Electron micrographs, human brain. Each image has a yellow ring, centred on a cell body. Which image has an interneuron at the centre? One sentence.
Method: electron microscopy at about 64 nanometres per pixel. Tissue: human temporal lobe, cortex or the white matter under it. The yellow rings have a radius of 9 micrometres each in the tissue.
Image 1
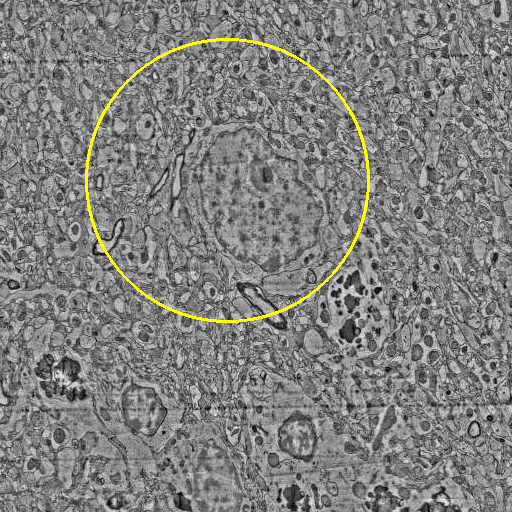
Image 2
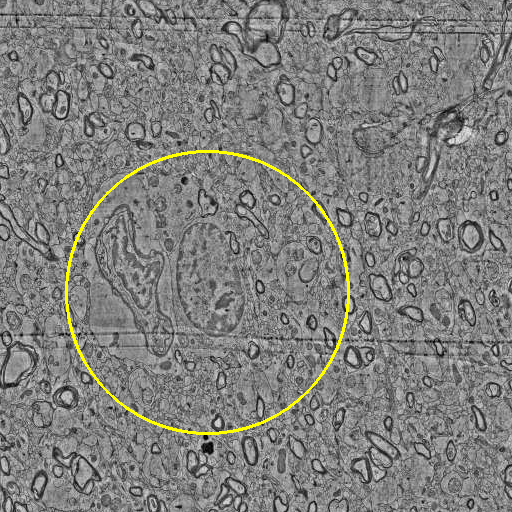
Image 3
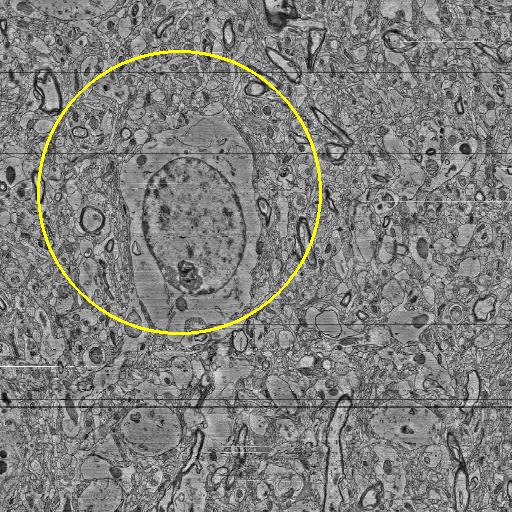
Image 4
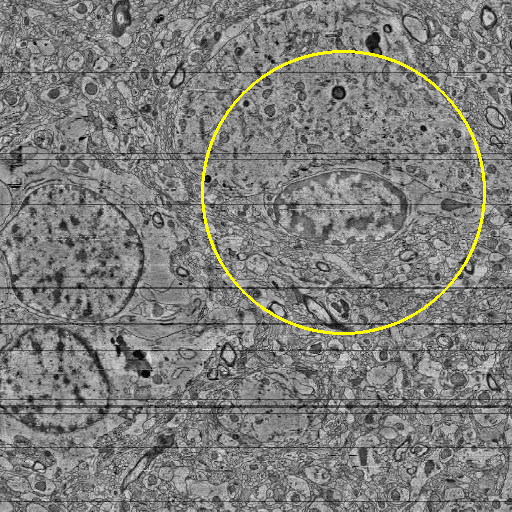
The ring in Image 1 is centred on it.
